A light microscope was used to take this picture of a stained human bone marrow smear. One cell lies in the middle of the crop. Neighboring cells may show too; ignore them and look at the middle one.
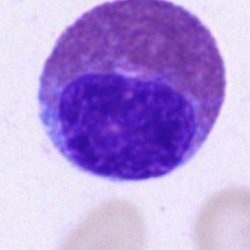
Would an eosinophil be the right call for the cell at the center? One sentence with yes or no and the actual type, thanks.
Yes, at the centre of the crop lies an eosinophil.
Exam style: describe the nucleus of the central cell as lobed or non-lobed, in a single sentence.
What stands out is a nucleus forming one compact round, oval or kidney-shaped mass.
